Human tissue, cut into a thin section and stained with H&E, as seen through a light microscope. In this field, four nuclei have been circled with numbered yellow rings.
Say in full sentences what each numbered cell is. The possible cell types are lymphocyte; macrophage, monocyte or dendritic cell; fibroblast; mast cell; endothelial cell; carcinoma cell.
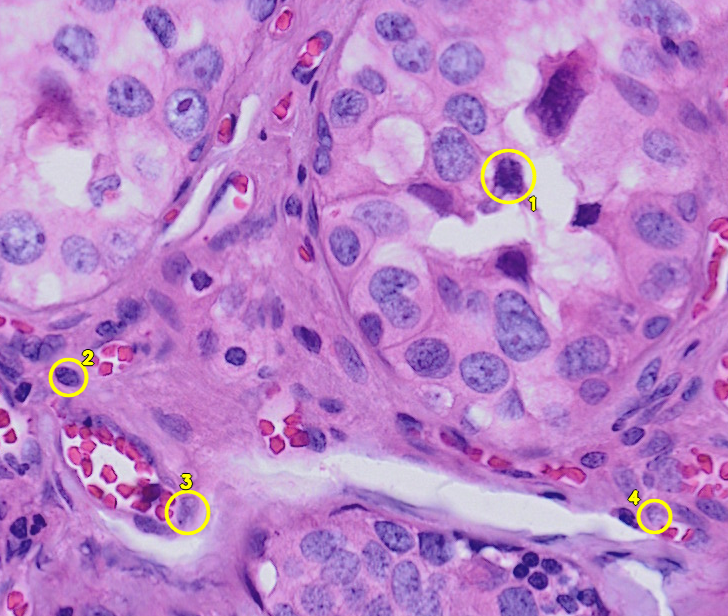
Cell 1 is a carcinoma cell, cell 2 is a mast cell, cell 3 is an endothelial cell and cell 4 is an endothelial cell.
